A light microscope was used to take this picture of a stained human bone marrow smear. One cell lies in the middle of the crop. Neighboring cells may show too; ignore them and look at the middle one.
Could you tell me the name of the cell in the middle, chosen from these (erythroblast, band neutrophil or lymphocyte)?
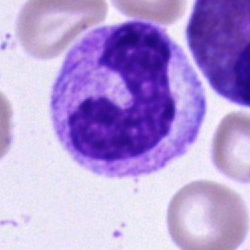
band neutrophil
